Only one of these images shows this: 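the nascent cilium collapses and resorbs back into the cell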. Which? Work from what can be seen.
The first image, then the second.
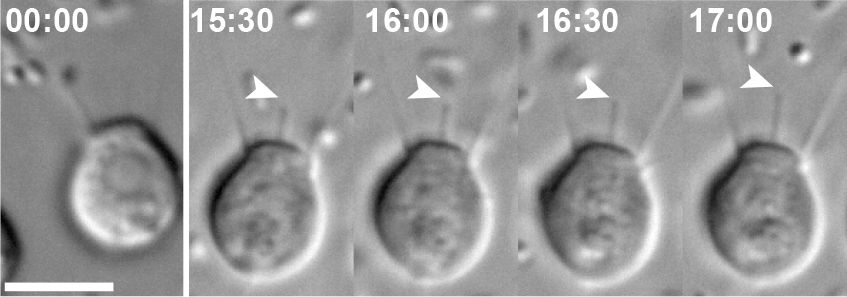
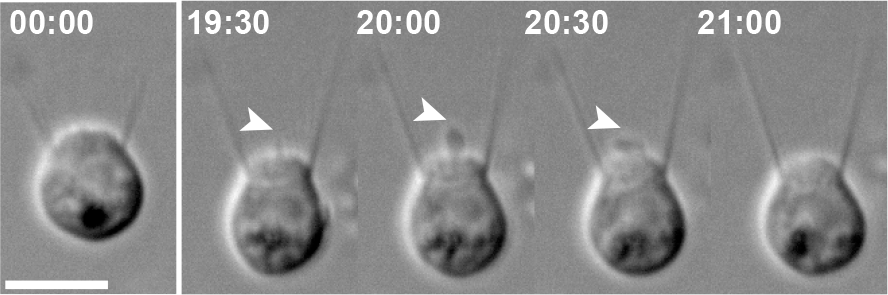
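The second image. Second image: the marked structure is short and irregular, and is gone by the last frame. First image: the marked structure is a thin, straight protrusion that persists and lengthens across frames.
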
